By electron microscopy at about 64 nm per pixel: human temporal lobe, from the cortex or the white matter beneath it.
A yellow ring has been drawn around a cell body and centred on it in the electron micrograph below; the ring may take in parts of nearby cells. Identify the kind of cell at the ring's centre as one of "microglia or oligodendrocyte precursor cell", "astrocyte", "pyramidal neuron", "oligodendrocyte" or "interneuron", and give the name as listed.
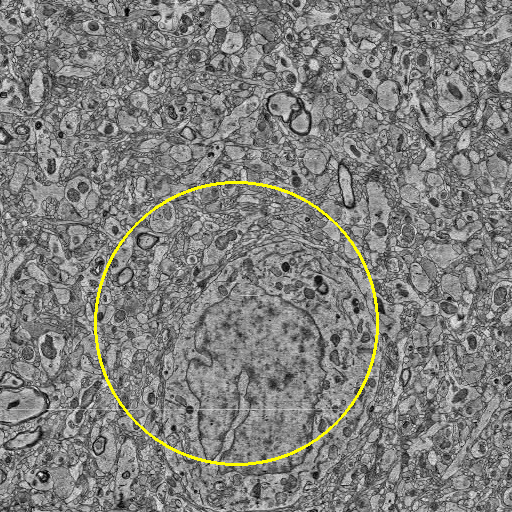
interneuron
